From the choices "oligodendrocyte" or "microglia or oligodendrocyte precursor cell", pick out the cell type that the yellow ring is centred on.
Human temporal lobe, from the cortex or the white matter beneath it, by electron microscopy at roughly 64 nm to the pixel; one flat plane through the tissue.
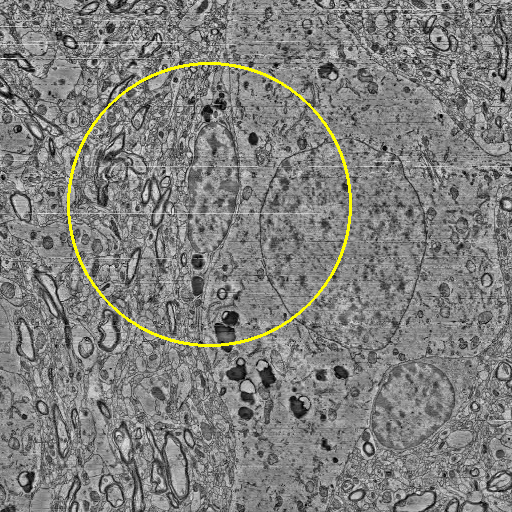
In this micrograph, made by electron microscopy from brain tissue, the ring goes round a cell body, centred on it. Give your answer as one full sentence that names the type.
The yellow ring is centred on a microglial cell or oligodendrocyte precursor cell, whose cell body it encircles in the picture.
